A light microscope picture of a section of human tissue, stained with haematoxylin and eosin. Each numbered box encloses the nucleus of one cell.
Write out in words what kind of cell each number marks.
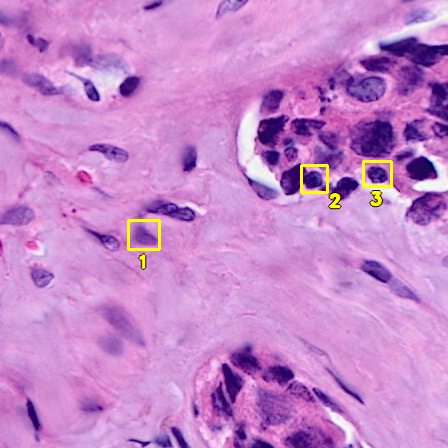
Cell 1 is a fibroblast, cell 2 is a lymphocyte and cell 3 is a lymphocyte.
